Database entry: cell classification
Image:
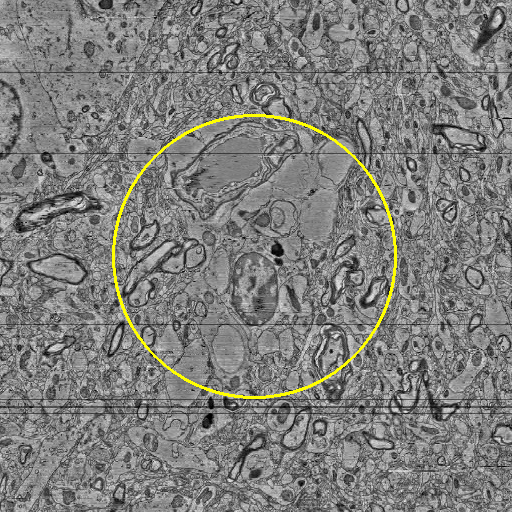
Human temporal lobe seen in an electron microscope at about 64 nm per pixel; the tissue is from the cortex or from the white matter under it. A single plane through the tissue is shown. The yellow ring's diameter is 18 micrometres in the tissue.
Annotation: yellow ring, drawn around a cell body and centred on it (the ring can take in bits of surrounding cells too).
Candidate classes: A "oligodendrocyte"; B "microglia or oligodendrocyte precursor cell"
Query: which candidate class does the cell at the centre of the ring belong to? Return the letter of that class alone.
B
